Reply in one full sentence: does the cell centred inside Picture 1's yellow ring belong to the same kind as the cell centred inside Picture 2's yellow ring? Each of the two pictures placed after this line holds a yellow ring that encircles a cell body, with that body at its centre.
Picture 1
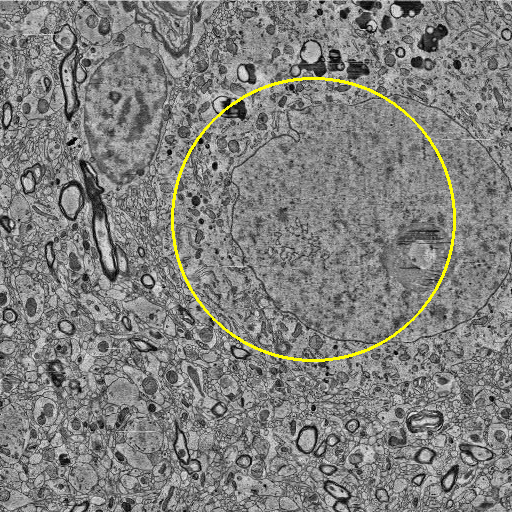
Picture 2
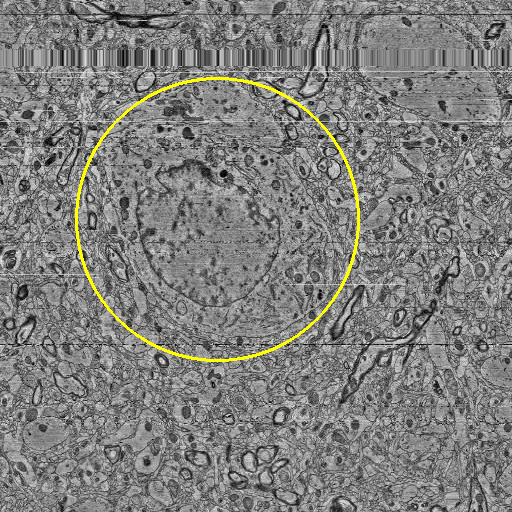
No, the ring-centred cells in Picture 1 and Picture 2 are of two separate kinds.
